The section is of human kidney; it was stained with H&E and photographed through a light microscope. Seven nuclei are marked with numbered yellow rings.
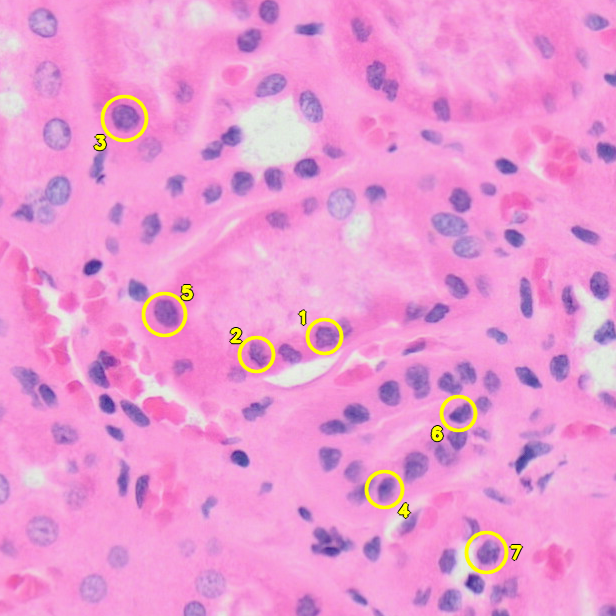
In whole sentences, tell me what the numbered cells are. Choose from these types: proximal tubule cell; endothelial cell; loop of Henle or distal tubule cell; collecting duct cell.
Cells 1, 2, 3 and 5 are proximal tubule cells. Cells 4 and 6 are collecting duct cells. Cell 7 is a loop of Henle or distal tubule cell.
